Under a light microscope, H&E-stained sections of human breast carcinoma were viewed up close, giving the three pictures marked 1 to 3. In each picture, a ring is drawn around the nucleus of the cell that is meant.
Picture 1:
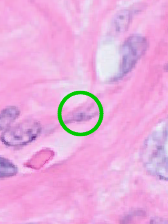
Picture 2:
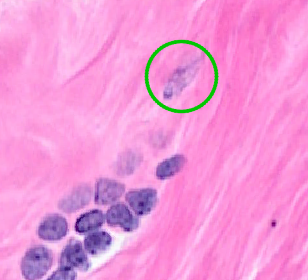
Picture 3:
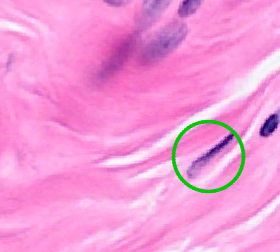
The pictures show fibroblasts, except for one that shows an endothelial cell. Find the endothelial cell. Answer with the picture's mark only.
1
